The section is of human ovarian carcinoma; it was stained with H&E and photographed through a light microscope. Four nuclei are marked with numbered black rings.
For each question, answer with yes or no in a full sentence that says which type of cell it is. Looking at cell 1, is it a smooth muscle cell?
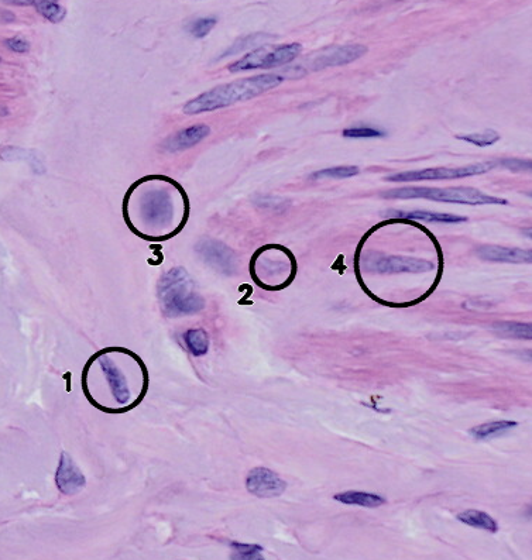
No, the cell at marker 1 is not a smooth muscle cell; it is a fibroblast.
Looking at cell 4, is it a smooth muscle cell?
Yes, the cell tagged with number 4 is a smooth muscle cell.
